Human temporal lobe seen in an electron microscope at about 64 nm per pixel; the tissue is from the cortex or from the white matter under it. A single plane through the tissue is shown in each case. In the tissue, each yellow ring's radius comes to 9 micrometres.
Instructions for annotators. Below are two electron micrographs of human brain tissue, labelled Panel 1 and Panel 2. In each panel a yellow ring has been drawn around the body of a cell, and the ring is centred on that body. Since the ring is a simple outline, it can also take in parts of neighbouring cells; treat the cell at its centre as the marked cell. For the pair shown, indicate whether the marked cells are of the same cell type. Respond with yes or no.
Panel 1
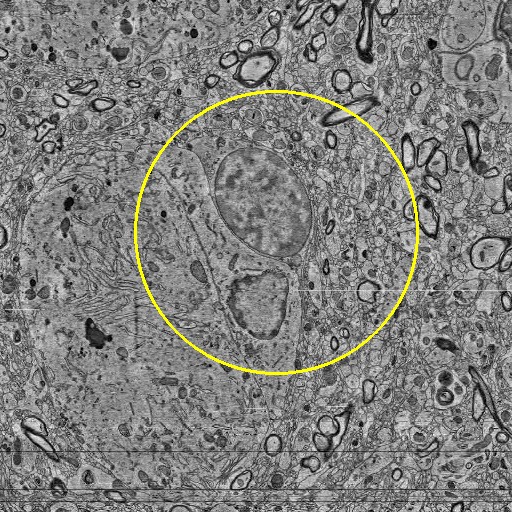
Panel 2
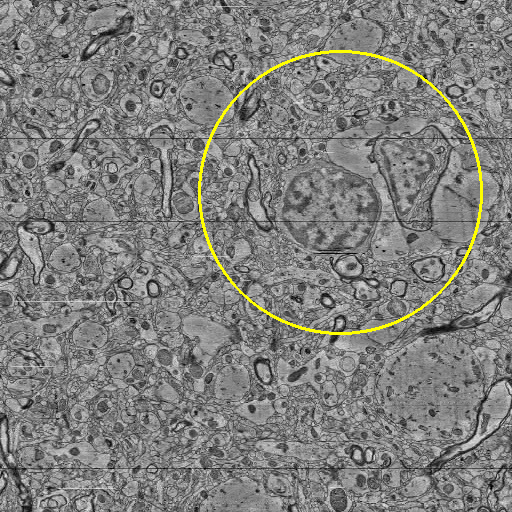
yes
